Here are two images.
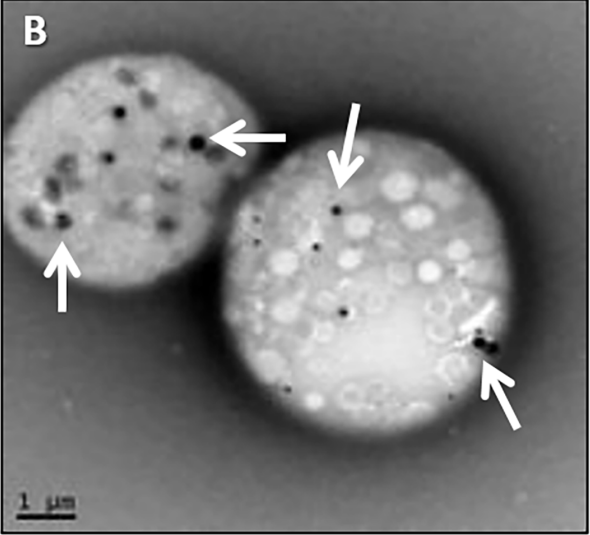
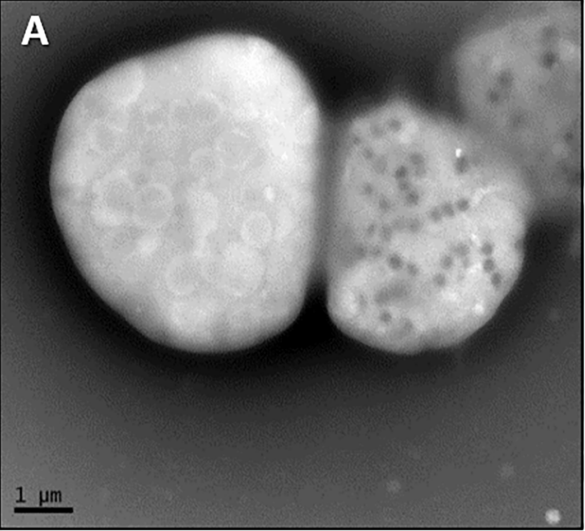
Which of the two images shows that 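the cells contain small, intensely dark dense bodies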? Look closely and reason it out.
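The first image. Second image: the cells show pale round granules and some grey spots, but no jet-black dots. First image: several jet-black, sharply bordered dots lie within both cells.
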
